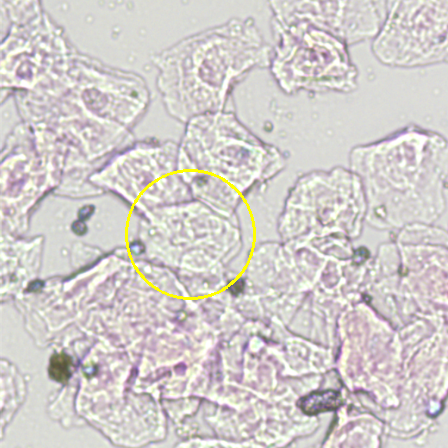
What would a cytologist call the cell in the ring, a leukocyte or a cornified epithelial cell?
A cytologist would call it a cornified epithelial cell.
